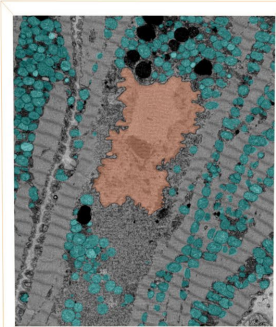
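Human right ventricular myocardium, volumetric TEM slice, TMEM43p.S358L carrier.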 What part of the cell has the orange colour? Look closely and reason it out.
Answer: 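A single large irregular orange area lies in the centre of the cell. It sits along the cell axis between the myofibril bundles.
Answer: nucleus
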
